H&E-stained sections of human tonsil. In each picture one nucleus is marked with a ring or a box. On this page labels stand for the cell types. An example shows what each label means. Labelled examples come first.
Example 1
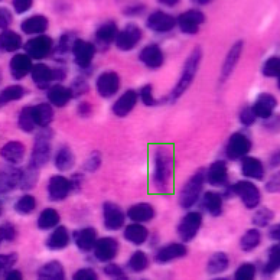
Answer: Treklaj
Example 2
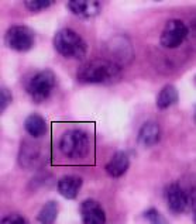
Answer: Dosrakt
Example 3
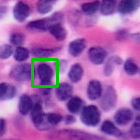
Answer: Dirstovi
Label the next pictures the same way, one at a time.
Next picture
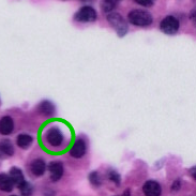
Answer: Dosrakt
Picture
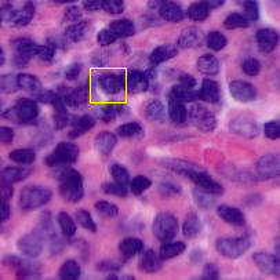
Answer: Dirstovi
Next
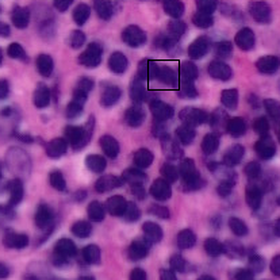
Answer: Dirstovi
